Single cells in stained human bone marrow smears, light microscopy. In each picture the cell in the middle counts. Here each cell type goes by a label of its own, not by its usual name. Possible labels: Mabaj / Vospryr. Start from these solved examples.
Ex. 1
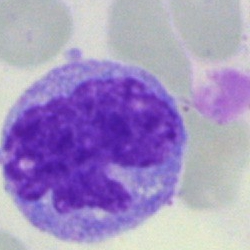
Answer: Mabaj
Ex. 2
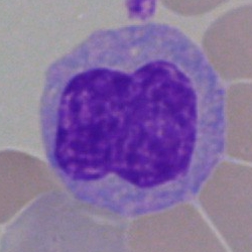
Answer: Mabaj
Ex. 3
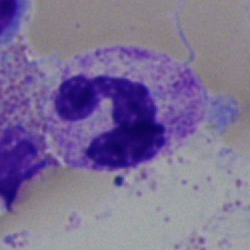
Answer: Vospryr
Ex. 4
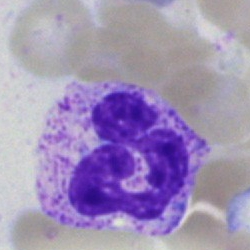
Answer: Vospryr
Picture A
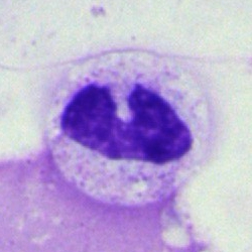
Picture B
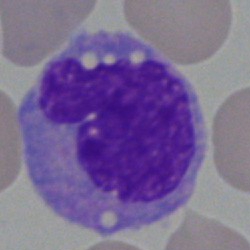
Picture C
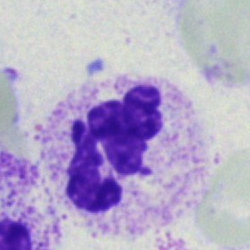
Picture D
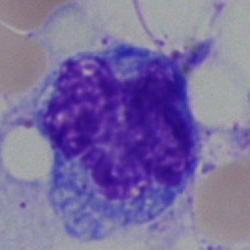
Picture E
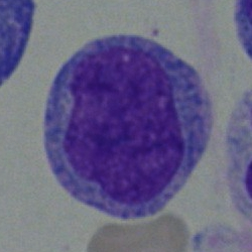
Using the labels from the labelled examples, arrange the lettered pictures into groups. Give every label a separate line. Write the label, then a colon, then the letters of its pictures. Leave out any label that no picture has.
Mabaj: B, D, E
Vospryr: A, C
